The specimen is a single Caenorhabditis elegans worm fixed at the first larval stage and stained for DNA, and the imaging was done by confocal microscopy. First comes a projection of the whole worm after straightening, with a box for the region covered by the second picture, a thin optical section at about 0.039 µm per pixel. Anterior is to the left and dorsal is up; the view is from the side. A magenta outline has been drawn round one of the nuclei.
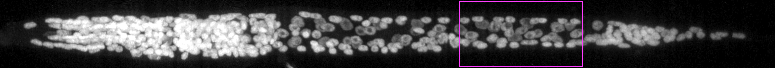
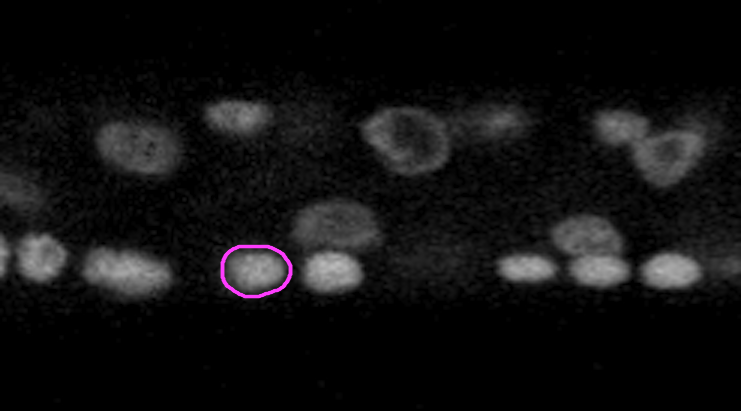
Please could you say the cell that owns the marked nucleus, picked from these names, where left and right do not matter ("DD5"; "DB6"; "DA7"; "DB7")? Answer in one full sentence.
The marked nucleus belongs to DB6, a neuron.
